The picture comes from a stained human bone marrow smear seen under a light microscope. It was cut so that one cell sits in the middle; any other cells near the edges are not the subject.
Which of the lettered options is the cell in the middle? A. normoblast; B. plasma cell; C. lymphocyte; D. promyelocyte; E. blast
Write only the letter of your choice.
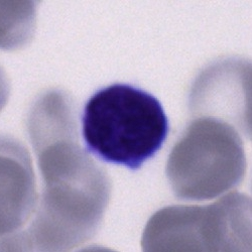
C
